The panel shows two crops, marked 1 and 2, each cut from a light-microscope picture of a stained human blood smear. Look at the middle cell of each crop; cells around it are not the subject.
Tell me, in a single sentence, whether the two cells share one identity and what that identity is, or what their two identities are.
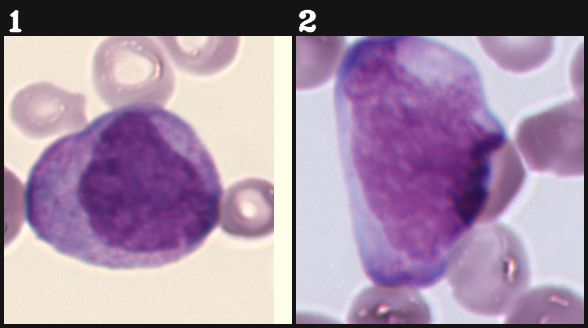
Yes, in both crops the centred cells are atypical promyelocytes.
